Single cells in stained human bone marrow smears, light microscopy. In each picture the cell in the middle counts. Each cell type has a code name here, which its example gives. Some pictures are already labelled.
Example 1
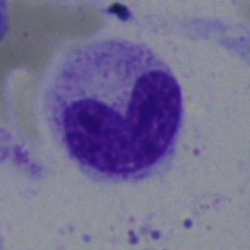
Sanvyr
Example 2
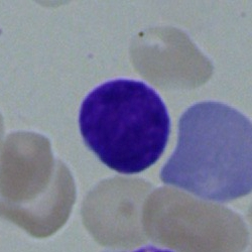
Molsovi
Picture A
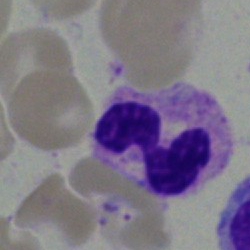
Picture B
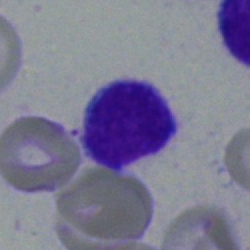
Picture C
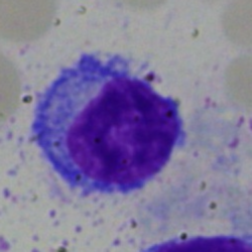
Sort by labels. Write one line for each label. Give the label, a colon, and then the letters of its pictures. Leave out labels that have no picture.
Sanvyr: A
Molsovi: B, C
